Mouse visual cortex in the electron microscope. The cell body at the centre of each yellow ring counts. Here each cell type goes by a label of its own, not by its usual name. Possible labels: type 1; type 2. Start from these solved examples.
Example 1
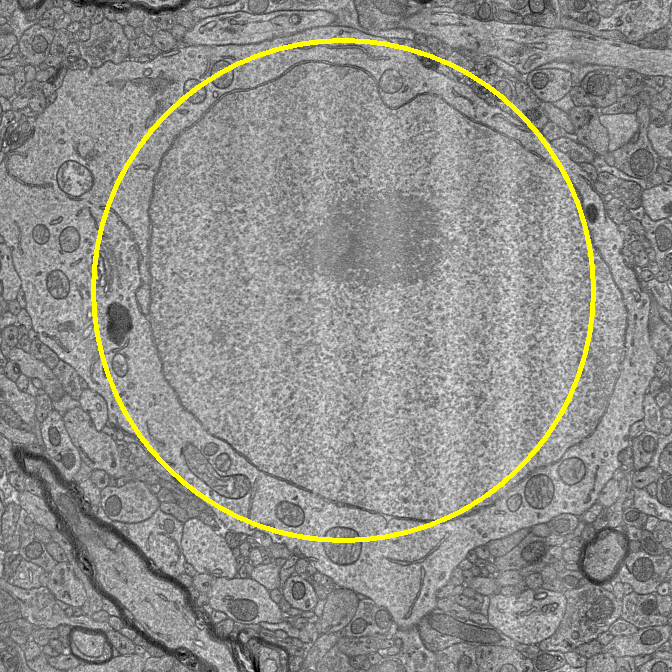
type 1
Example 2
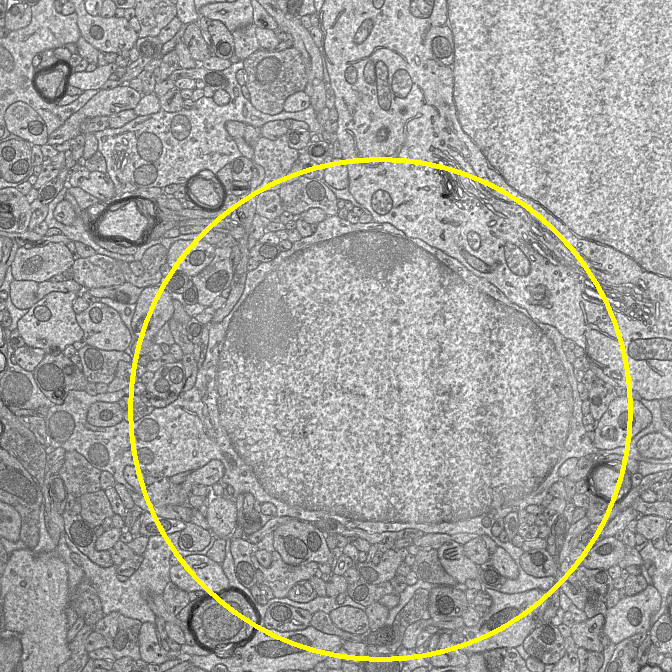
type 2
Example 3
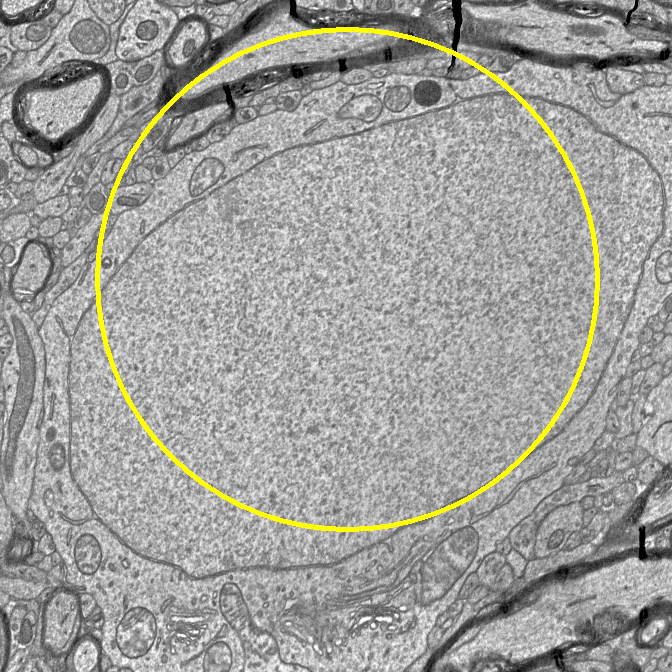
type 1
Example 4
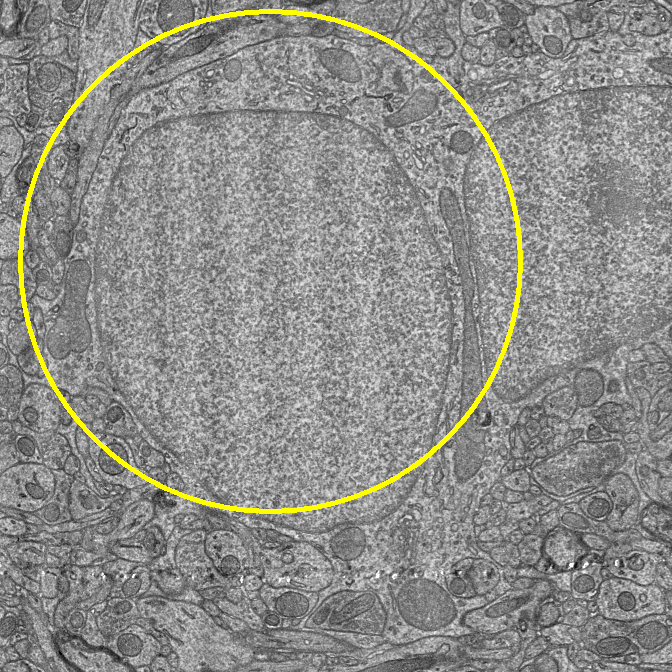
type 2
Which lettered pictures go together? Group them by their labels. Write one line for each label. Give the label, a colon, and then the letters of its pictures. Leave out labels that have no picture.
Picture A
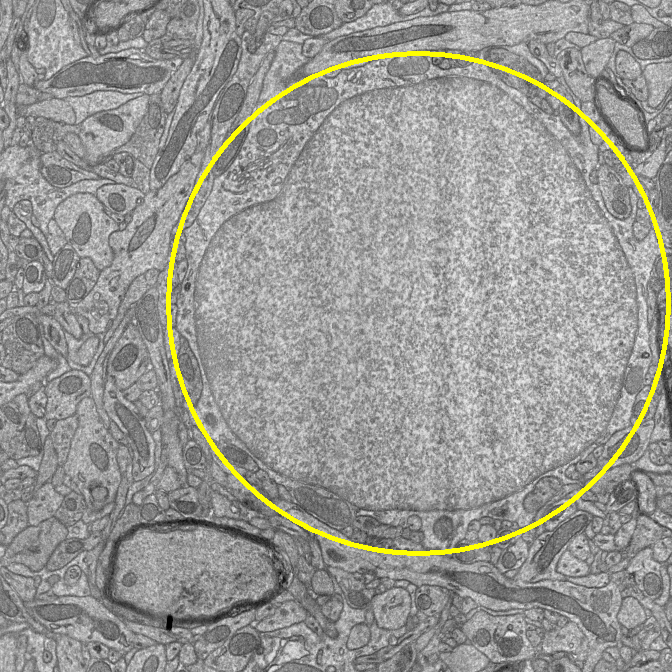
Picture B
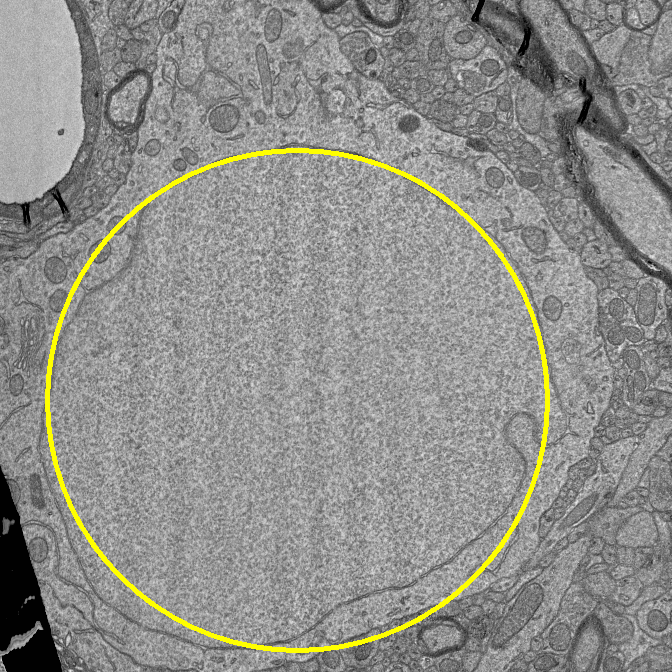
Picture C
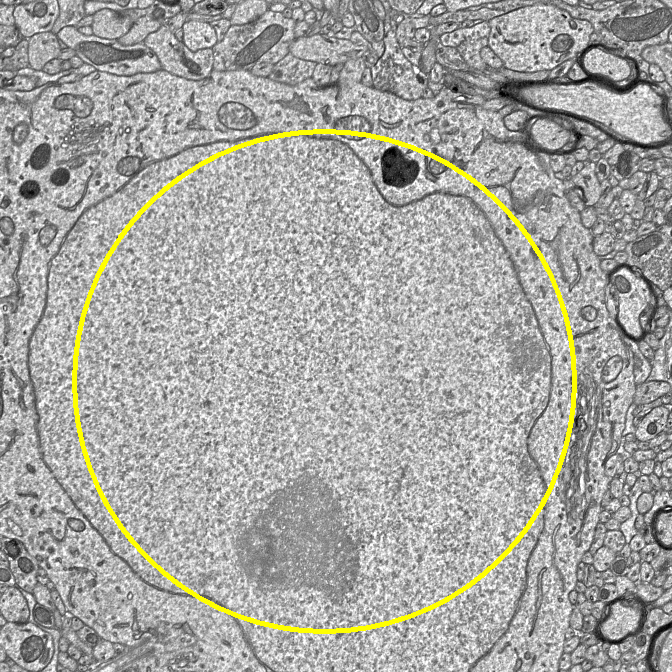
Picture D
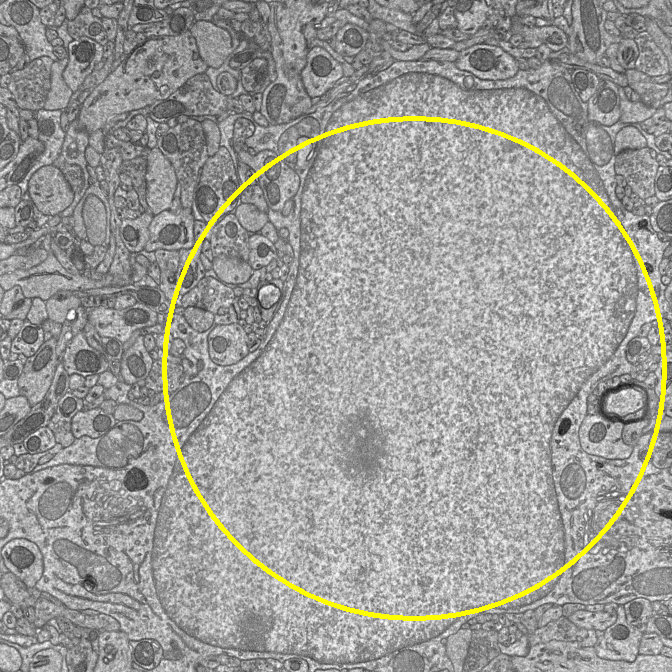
type 1: B, C
type 2: A, D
